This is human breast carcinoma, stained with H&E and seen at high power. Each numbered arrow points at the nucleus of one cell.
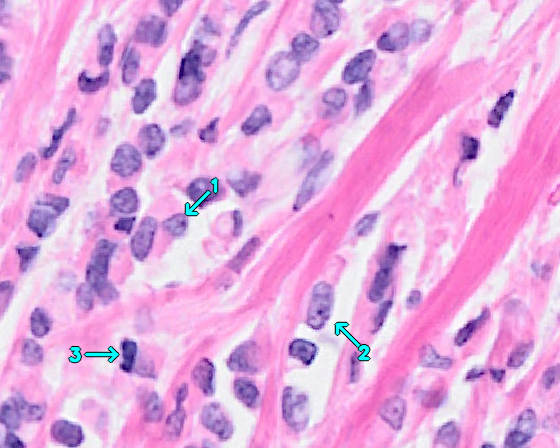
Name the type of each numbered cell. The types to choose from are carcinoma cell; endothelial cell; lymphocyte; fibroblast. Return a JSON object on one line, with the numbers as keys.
{"1": "carcinoma cell", "2": "carcinoma cell", "3": "lymphocyte"}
